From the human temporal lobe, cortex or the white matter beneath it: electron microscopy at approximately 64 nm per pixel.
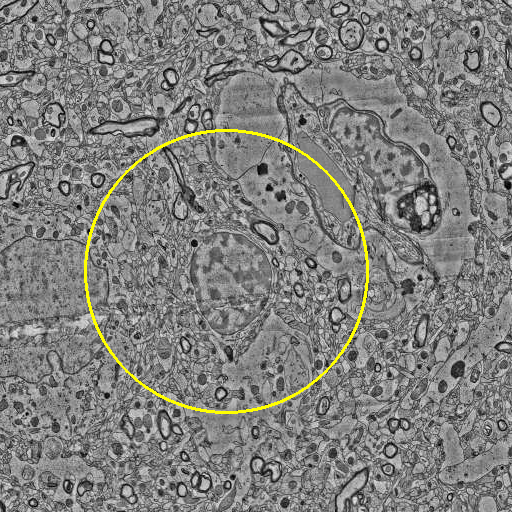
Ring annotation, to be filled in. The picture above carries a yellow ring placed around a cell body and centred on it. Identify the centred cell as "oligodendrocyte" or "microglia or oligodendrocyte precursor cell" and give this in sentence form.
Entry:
The cell in the middle of the ring is a microglial cell or oligodendrocyte precursor cell.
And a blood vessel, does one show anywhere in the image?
Yes, one appears.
